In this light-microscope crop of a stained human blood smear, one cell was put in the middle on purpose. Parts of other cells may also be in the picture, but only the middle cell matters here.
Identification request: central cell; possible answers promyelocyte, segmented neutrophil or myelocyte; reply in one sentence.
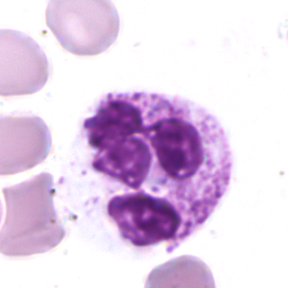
Whatever else lies nearby, the middle cell is a segmented neutrophil.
